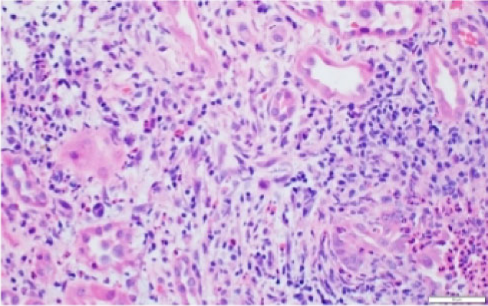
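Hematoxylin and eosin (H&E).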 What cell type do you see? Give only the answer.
Eosinophils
